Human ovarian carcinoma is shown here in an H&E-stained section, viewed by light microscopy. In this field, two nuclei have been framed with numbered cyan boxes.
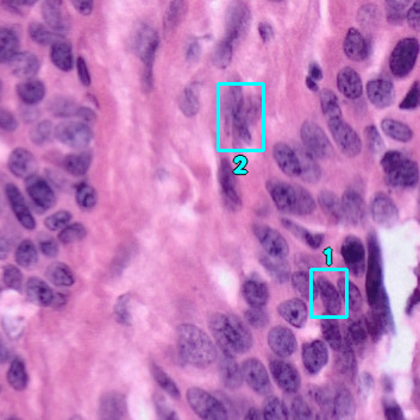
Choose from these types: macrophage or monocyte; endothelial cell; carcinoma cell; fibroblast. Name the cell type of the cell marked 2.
fibroblast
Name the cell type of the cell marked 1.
carcinoma cell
